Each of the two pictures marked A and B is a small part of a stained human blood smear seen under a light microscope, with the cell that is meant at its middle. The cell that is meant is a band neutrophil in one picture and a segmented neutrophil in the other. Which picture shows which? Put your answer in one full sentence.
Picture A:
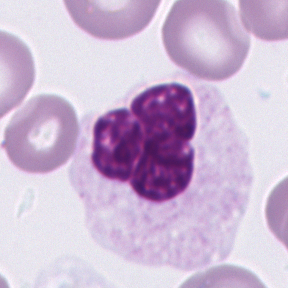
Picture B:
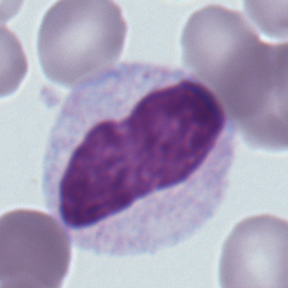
Picture B shows a band neutrophil, while picture A shows a segmented neutrophil.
